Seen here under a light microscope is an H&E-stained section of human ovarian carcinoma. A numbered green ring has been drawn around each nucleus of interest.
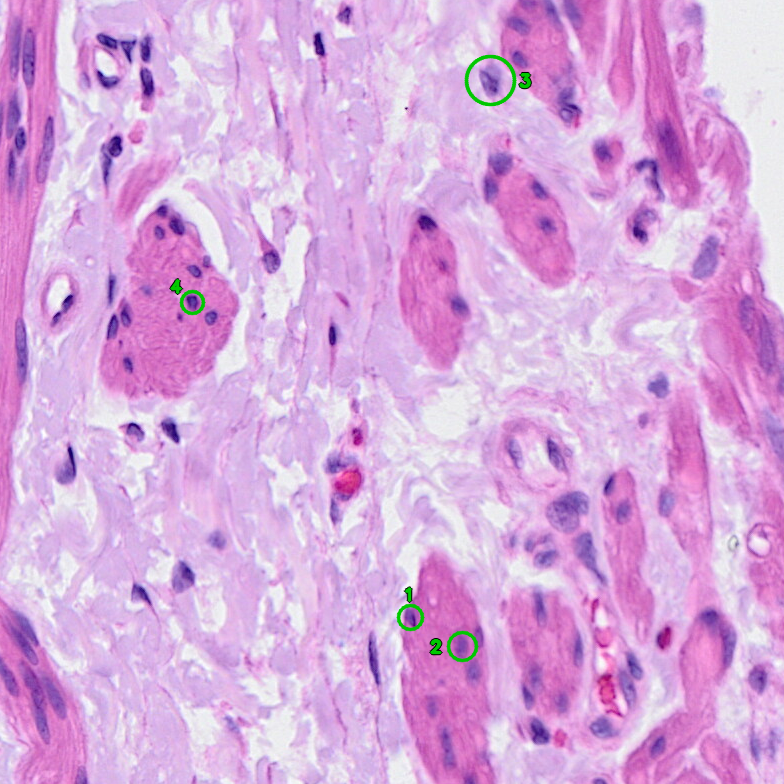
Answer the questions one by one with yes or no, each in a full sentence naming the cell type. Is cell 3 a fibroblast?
Yes. The cell carrying number 3 is a fibroblast.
